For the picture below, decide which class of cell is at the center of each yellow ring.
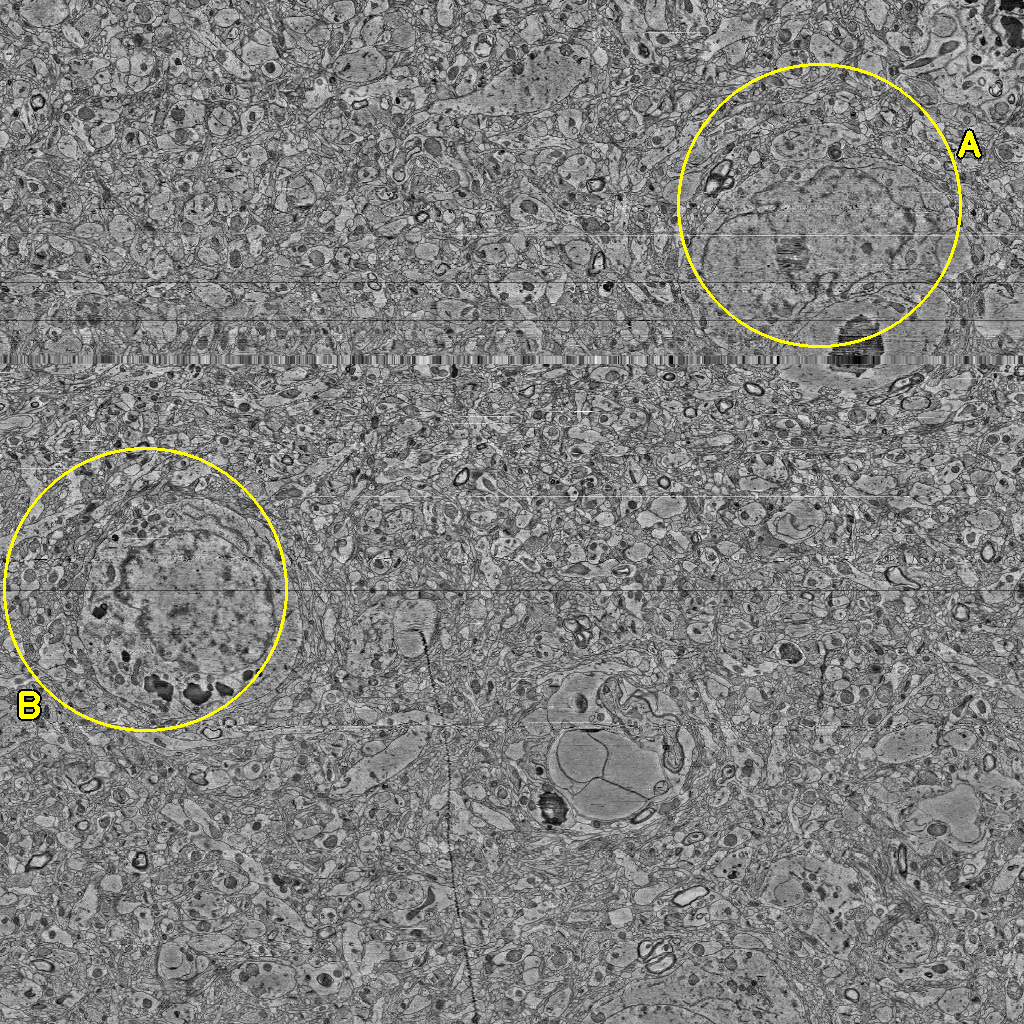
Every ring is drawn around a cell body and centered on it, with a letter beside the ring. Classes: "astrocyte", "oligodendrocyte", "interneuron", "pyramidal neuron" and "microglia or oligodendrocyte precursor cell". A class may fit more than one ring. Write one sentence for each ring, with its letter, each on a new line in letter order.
Centered in ring A is an interneuron.
Centered in ring B is an interneuron.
